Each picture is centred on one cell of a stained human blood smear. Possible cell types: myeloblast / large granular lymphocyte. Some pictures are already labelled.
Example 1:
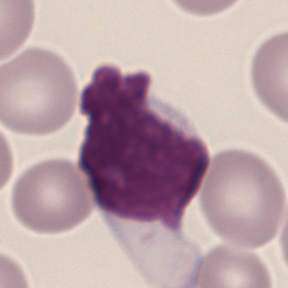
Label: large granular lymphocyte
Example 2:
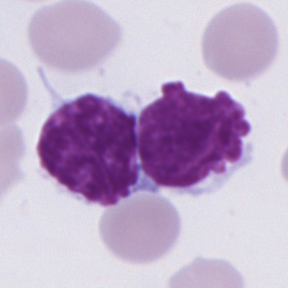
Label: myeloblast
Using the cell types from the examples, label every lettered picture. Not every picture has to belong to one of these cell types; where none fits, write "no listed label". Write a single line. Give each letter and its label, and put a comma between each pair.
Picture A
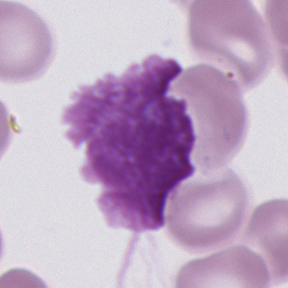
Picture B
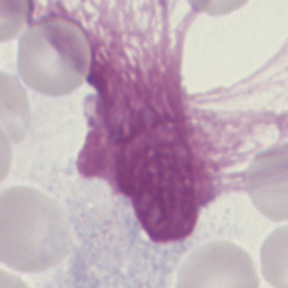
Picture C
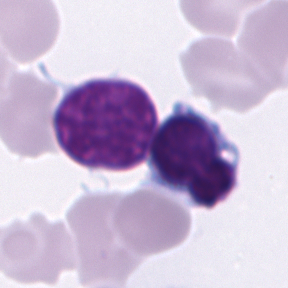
A no listed label, B no listed label, C myeloblast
